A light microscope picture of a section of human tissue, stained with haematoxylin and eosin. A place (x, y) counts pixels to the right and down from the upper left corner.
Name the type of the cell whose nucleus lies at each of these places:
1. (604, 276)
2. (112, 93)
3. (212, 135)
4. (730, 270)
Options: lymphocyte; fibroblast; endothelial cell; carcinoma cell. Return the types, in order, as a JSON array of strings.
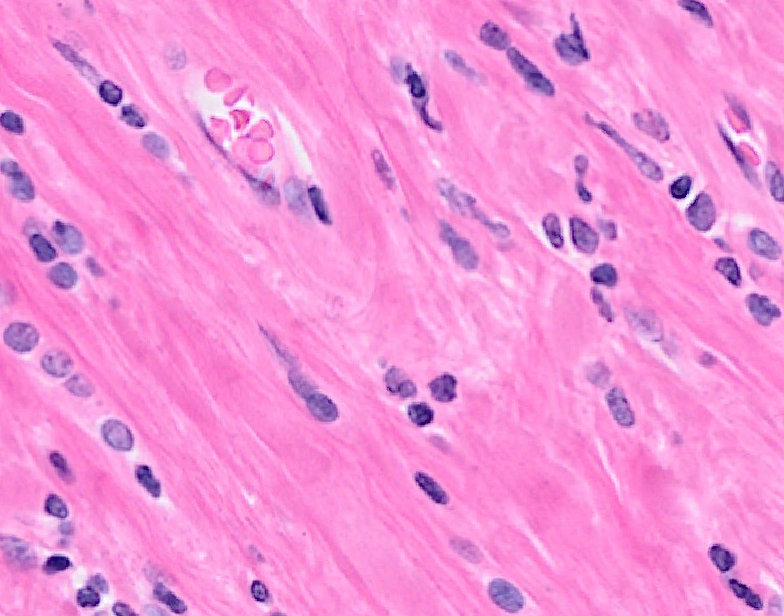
["lymphocyte", "lymphocyte", "endothelial cell", "lymphocyte"]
